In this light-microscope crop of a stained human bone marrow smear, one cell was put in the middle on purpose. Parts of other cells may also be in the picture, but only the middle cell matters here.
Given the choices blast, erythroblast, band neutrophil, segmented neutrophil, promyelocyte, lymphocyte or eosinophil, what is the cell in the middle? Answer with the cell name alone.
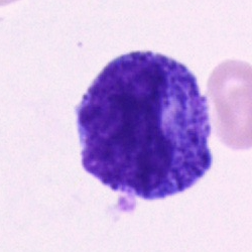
promyelocyte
